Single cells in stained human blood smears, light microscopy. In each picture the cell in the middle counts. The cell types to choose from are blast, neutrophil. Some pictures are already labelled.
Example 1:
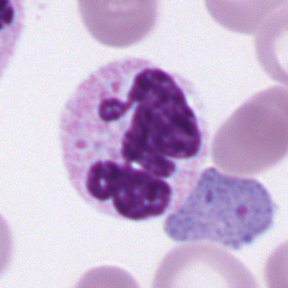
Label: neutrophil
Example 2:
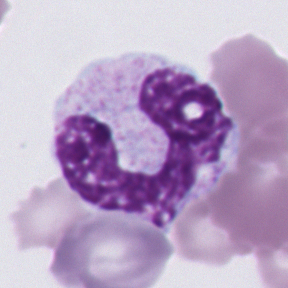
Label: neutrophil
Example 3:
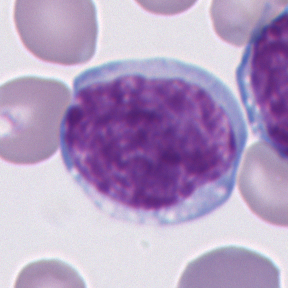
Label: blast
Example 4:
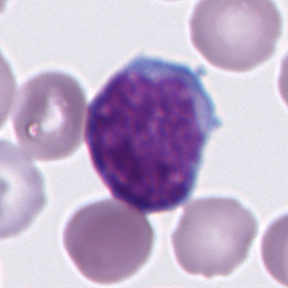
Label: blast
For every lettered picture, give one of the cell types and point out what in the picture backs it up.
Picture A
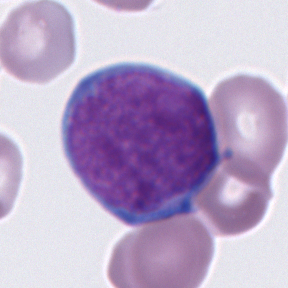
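blast: The cytoplasm forms only a narrow rim around the nucleus.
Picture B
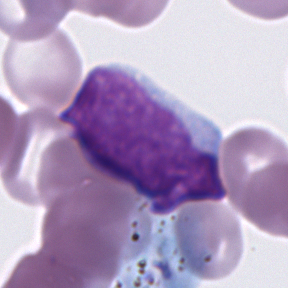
blast: The nucleus fills most of the cell.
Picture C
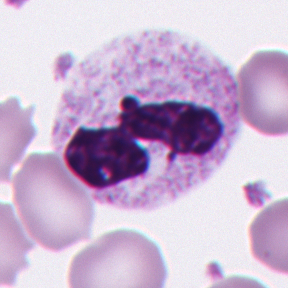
neutrophil: The cytoplasm is abundant and pale pink-lilac.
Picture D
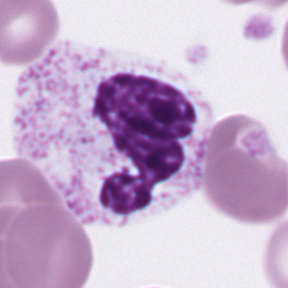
neutrophil: The cytoplasm holds many discrete pink-red granules scattered across it.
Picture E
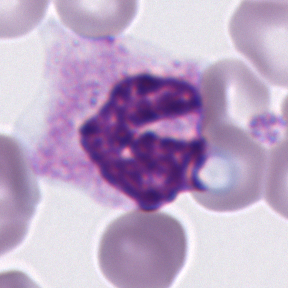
neutrophil: The cytoplasm is abundant and forms its widest rim on the left side of the nucleus.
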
